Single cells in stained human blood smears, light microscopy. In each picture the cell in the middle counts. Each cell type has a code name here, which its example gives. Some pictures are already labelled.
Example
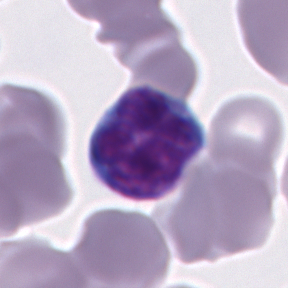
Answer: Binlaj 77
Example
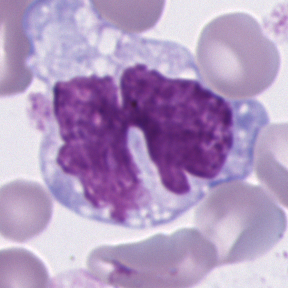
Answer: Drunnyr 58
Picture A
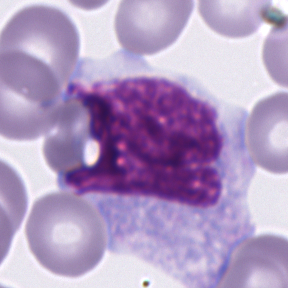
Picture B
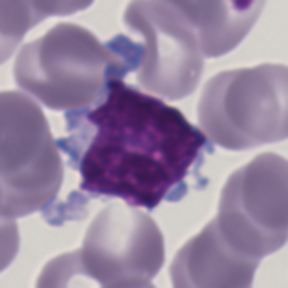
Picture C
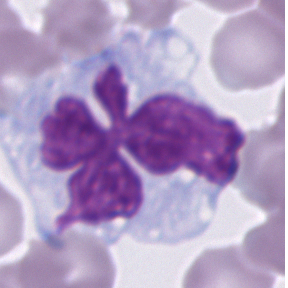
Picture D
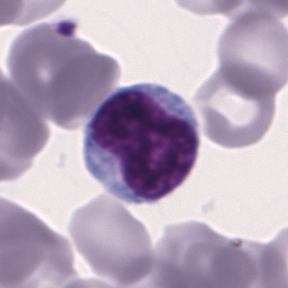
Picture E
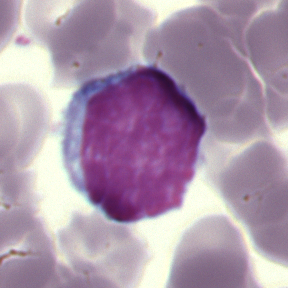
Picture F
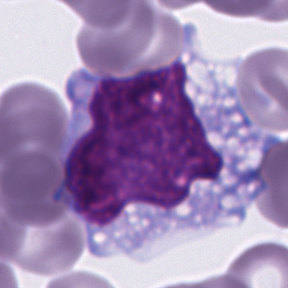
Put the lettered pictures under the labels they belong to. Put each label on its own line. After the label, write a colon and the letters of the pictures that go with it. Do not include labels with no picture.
Binlaj 77: B, D, E
Drunnyr 58: A, C, F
